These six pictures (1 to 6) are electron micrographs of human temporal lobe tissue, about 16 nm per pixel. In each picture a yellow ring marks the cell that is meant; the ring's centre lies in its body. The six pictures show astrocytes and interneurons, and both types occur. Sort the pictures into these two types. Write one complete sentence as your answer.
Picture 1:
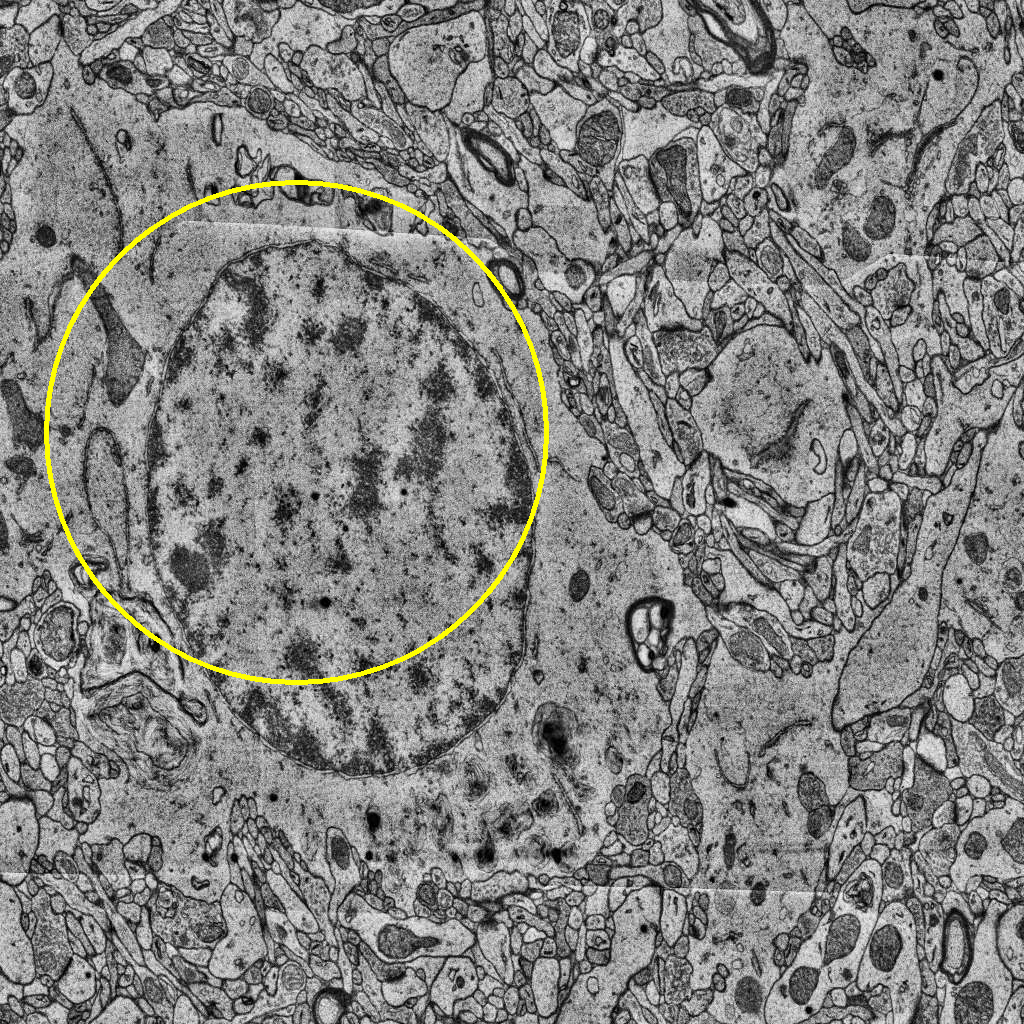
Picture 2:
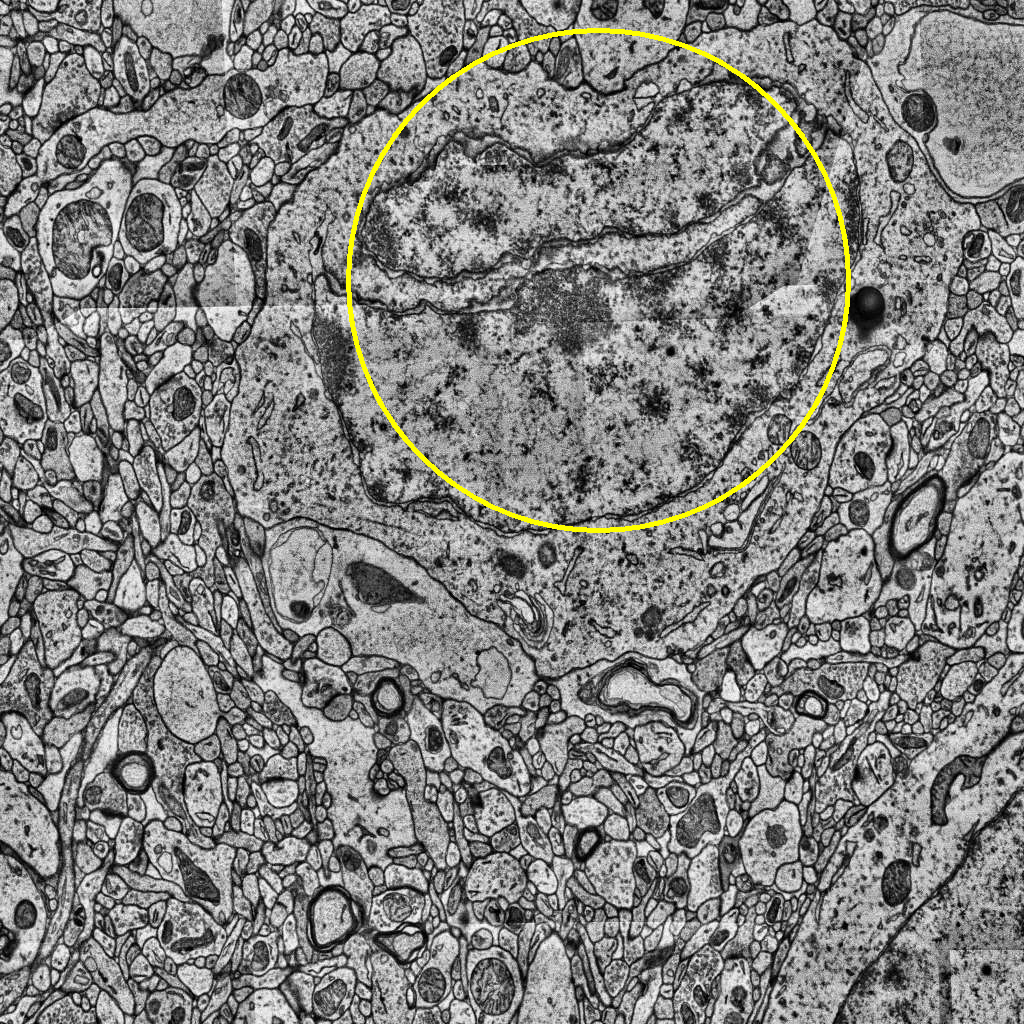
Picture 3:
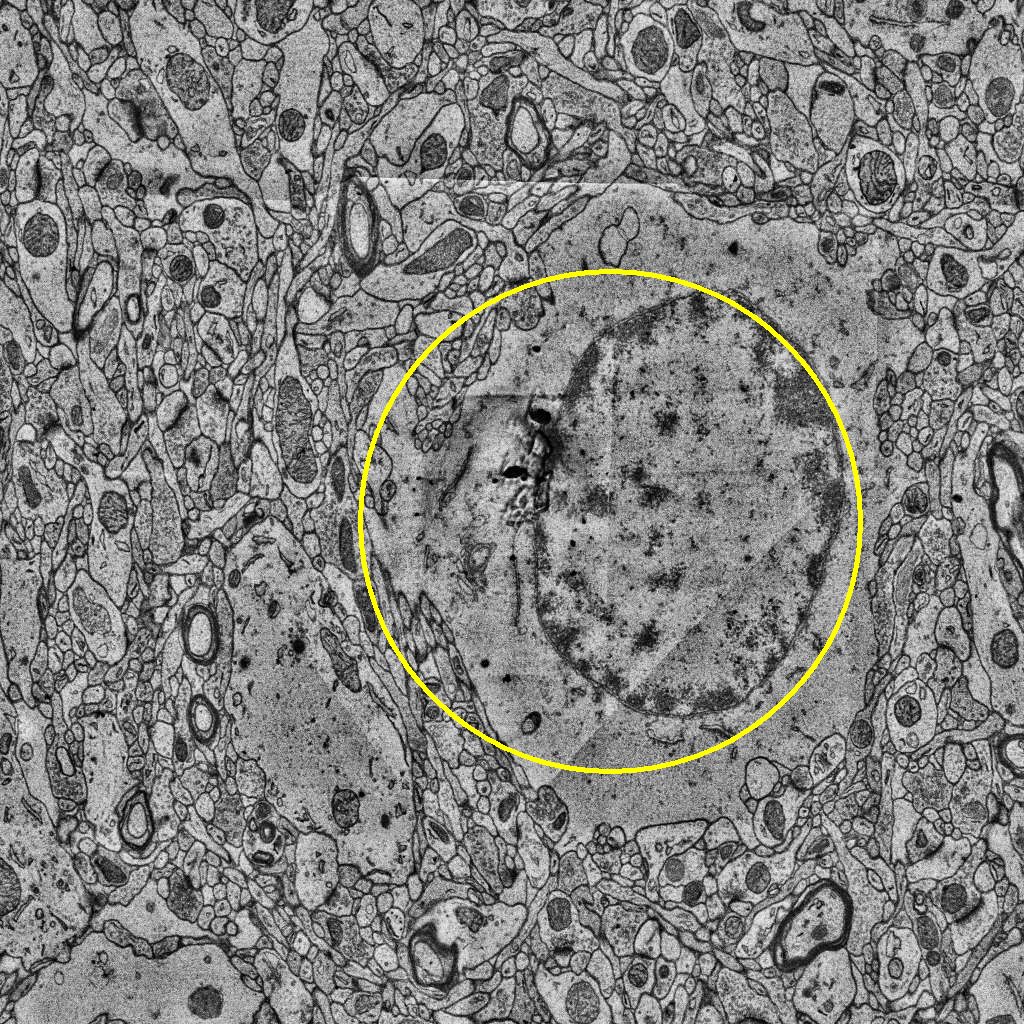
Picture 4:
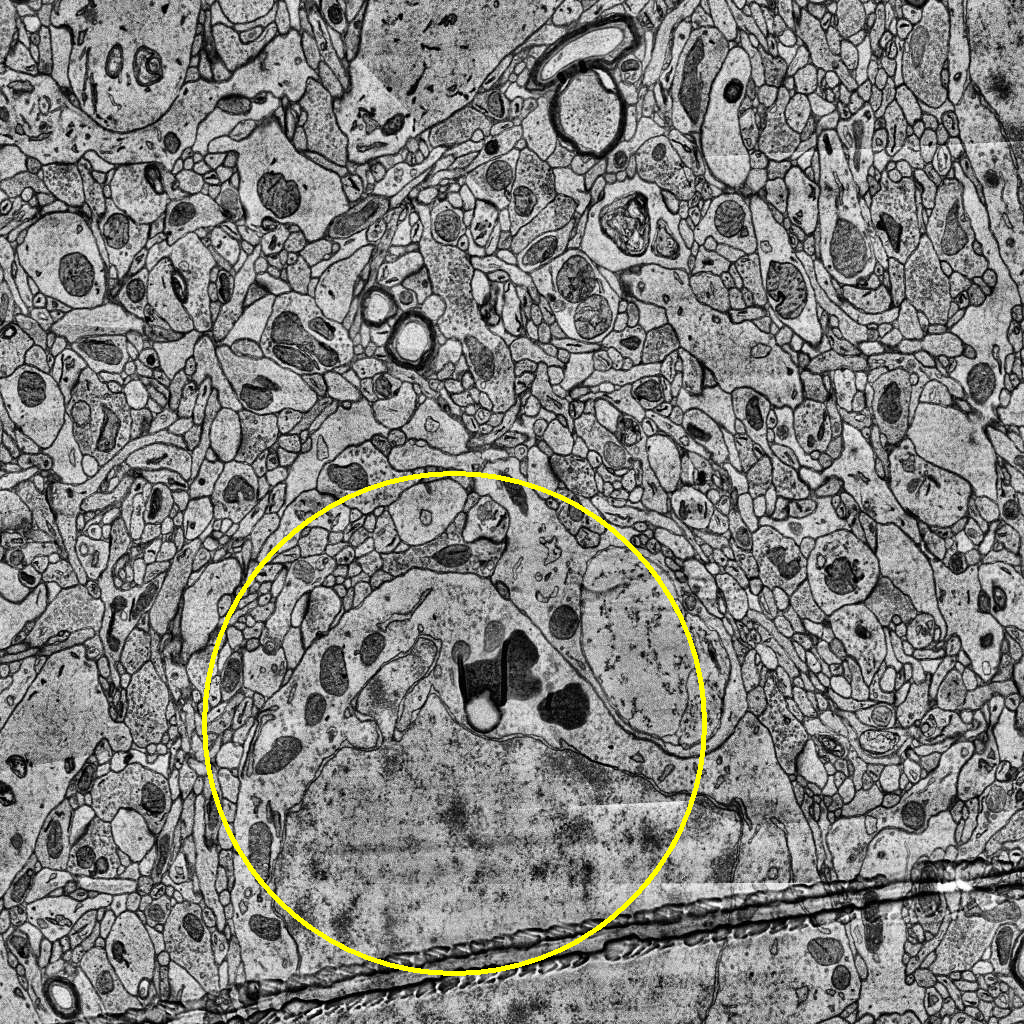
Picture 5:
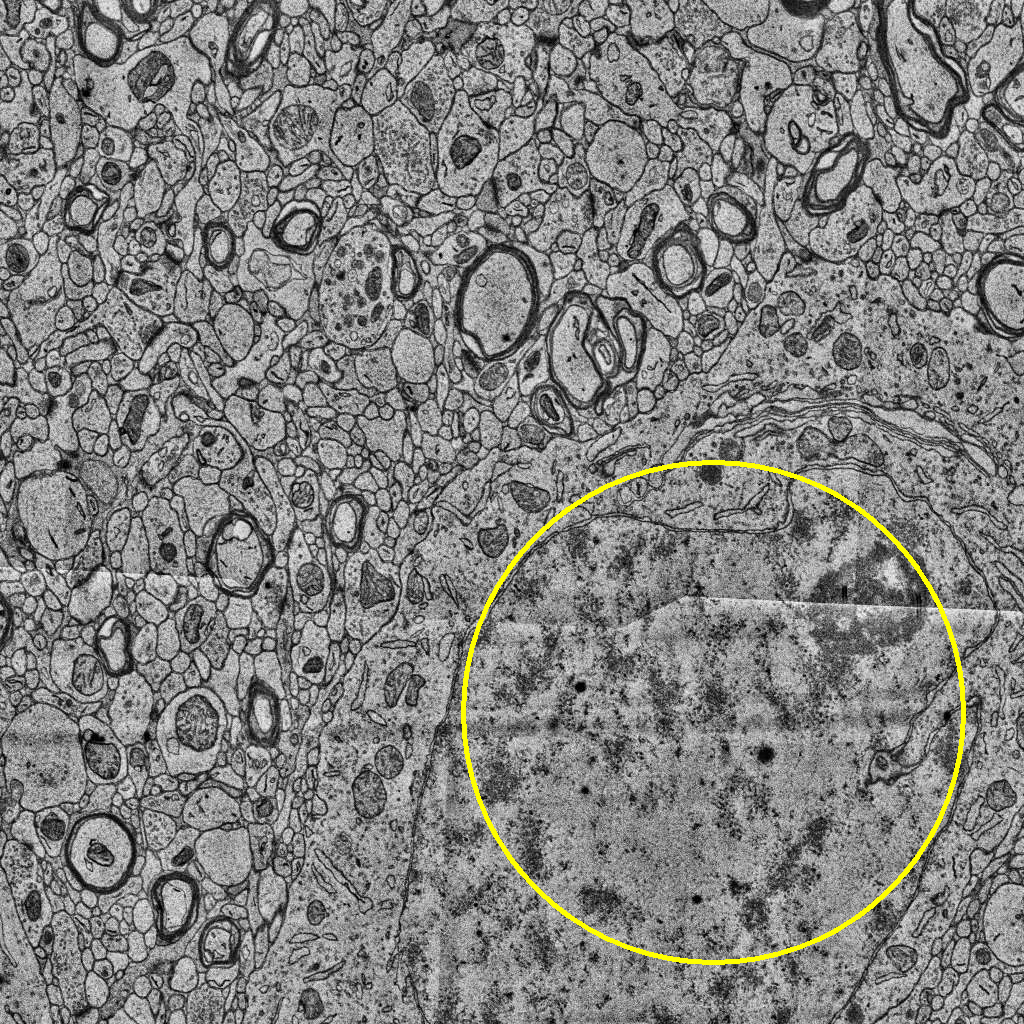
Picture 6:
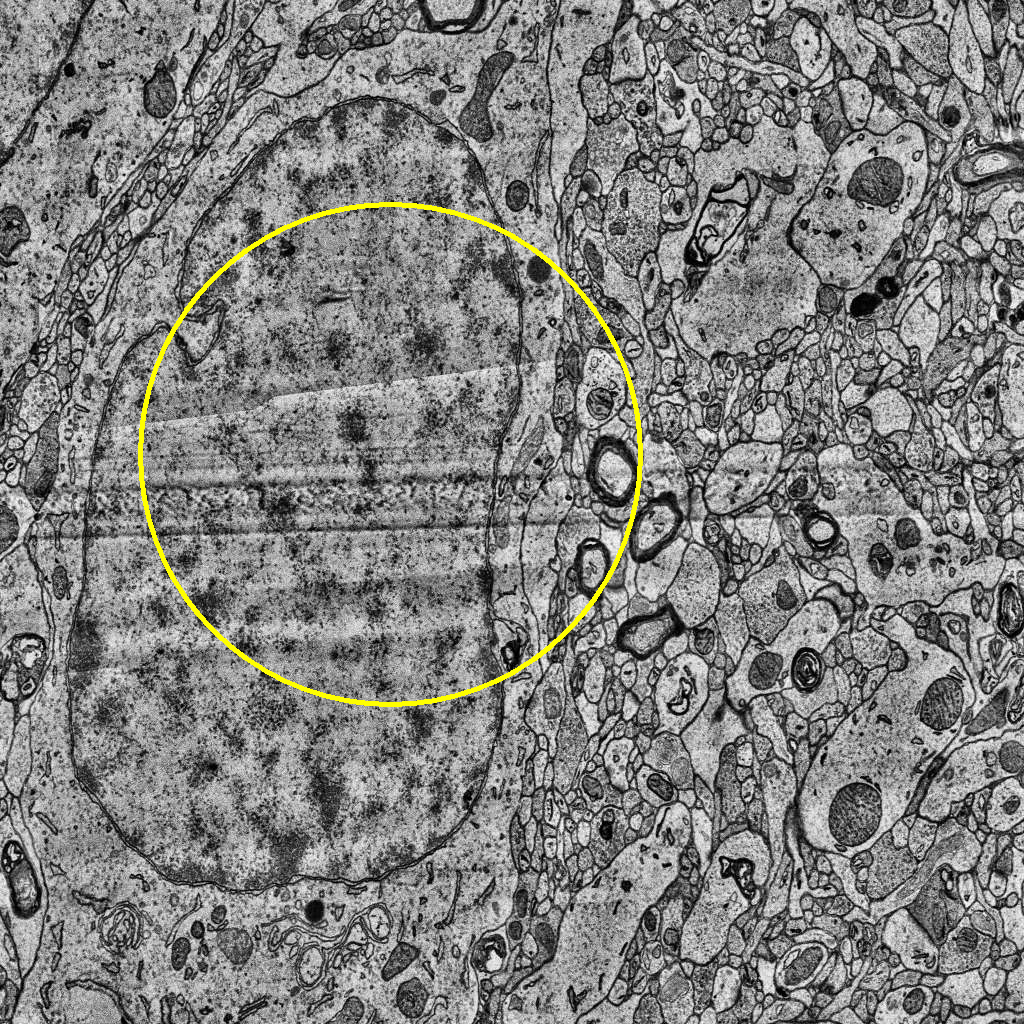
Pictures 1 and 3 show astrocytes, while pictures 2, 4, 5 and 6 show interneurons.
